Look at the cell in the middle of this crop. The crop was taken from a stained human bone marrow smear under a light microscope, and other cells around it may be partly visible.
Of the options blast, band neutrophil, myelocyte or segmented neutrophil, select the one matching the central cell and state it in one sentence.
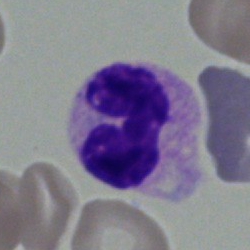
The cell of interest, in the center, is a segmented neutrophil.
